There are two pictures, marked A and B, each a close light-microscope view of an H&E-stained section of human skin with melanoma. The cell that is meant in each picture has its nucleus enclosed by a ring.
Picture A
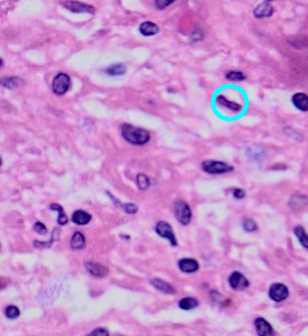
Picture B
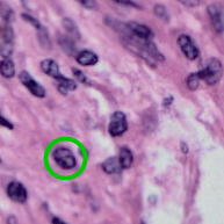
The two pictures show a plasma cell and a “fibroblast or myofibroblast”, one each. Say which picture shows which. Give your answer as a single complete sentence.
It is picture A that shows a “fibroblast or myofibroblast”, and picture B that shows a plasma cell.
